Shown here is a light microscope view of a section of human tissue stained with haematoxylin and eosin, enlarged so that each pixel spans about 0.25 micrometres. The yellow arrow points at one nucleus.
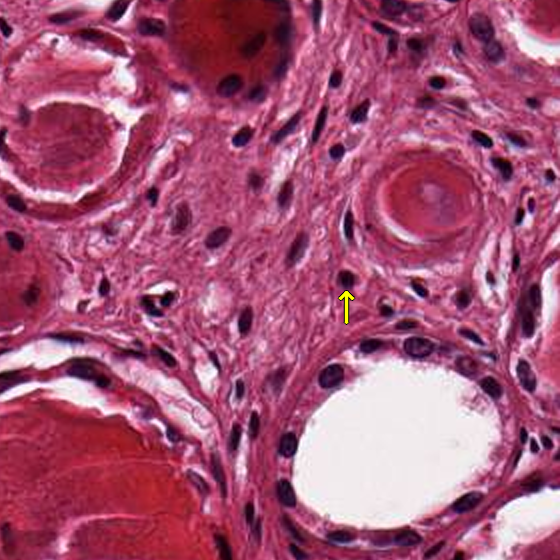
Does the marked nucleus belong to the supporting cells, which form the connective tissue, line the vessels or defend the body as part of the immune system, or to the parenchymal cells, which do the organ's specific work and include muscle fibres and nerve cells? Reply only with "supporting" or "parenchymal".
supporting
